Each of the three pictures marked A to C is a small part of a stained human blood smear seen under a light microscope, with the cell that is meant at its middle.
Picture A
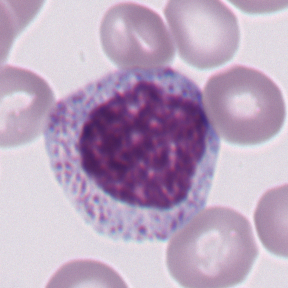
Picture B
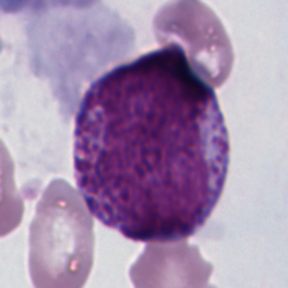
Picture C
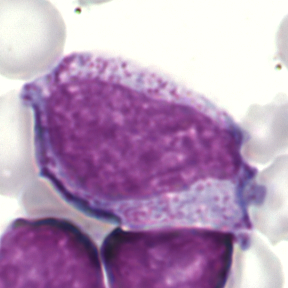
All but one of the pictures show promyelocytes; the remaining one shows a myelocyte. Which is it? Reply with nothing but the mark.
A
